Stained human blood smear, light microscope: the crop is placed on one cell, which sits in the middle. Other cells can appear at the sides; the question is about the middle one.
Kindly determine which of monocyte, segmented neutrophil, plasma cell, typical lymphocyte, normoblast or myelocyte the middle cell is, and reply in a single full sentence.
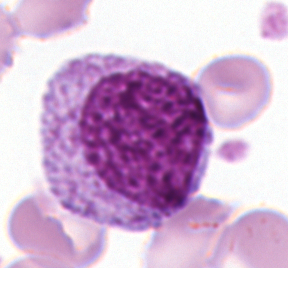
The centered cell in this crop is a myelocyte.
